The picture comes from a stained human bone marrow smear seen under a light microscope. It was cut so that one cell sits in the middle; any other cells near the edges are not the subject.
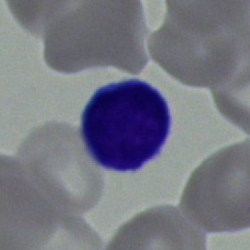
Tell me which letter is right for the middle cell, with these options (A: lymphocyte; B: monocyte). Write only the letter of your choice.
A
